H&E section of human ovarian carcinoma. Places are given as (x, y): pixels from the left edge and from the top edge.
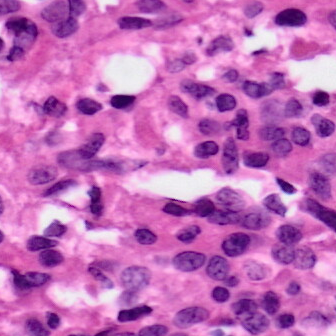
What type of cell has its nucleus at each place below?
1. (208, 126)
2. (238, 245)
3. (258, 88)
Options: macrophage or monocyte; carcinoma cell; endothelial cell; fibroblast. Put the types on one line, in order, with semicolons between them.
carcinoma cell; carcinoma cell; macrophage or monocyte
